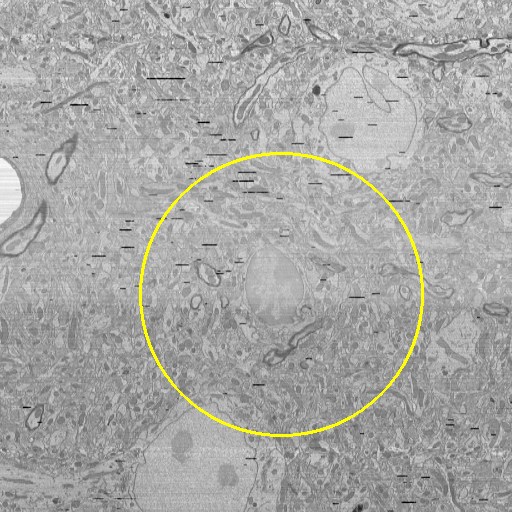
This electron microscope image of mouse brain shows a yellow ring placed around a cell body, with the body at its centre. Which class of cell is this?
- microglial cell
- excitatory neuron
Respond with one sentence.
The cell body at the ring's centre is a microglial cell.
